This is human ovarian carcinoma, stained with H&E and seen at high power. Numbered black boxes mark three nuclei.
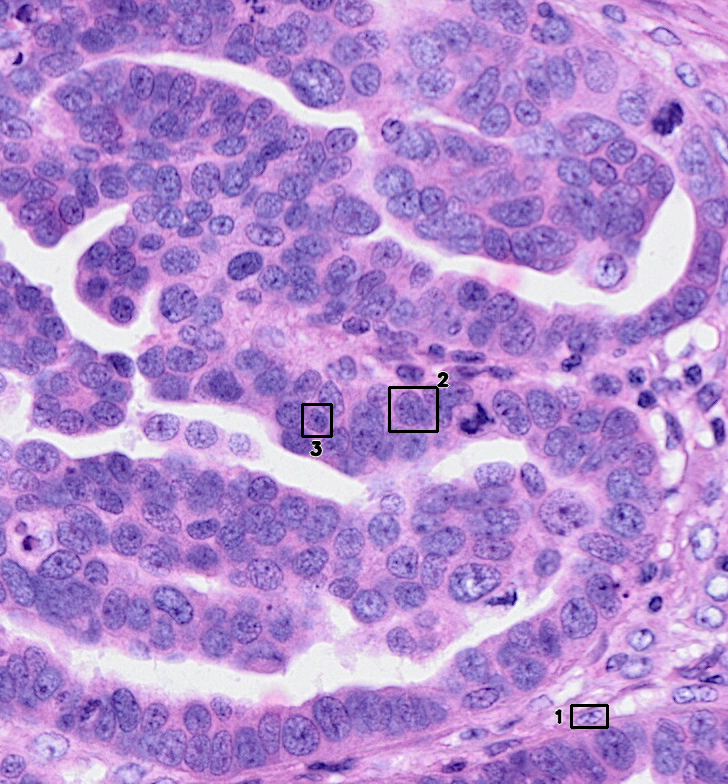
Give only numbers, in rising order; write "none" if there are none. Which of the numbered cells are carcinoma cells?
2, 3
